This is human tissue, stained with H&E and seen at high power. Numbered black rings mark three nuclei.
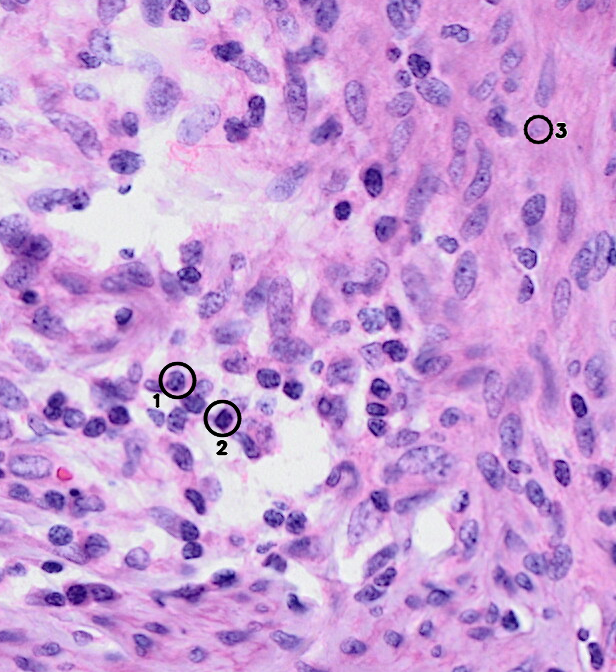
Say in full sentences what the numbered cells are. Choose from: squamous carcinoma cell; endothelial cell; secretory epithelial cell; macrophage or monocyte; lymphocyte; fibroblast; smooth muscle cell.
Cell 1 is a lymphocyte, cell 2 is a lymphocyte and cell 3 is a smooth muscle cell.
